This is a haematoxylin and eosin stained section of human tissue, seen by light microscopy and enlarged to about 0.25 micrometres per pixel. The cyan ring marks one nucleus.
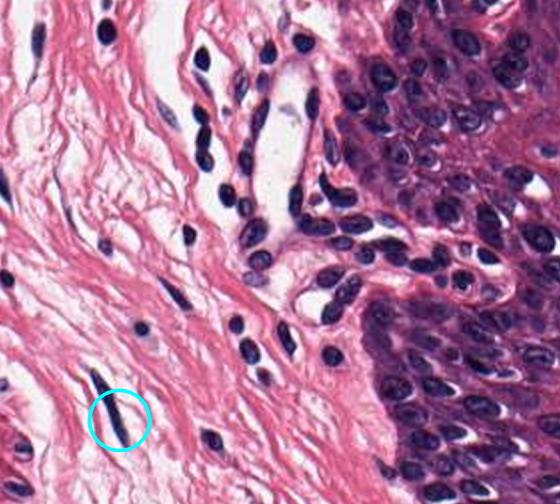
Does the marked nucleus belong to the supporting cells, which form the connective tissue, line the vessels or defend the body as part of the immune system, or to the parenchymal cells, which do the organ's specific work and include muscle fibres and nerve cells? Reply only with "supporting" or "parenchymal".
supporting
